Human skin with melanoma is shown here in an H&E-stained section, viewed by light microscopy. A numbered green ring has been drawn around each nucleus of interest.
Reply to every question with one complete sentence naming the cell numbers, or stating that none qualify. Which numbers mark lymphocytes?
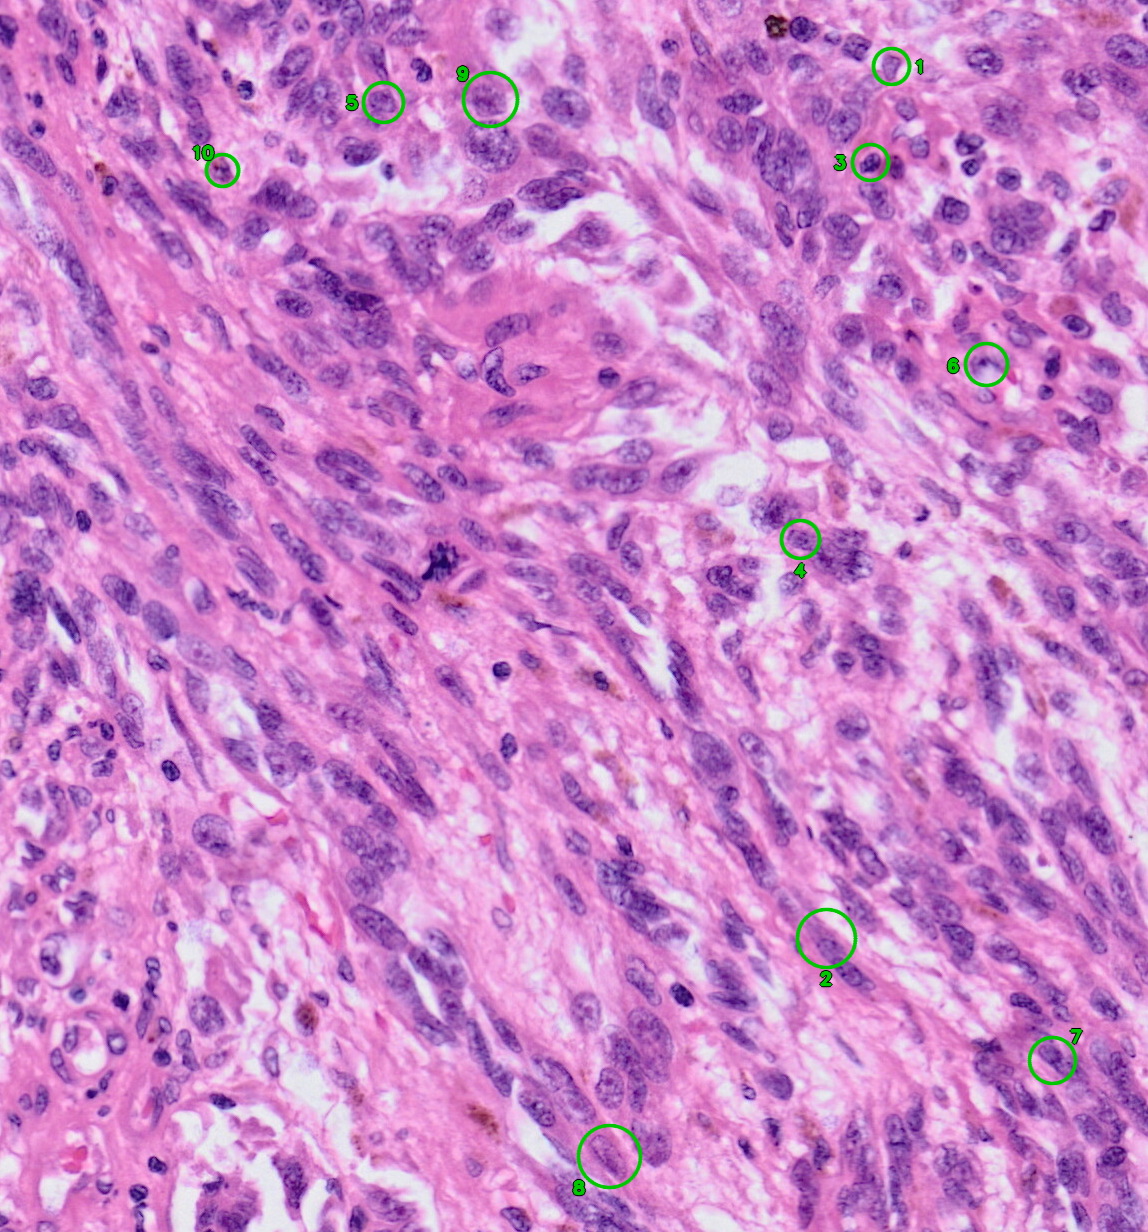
Only the cell numbered 3 qualifies as a lymphocyte among the marked cells.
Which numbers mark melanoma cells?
Within this tissue, the cells numbered 2, 4, 5, 7, 8 and 9 are melanoma cells.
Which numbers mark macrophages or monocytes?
In terms of cell type, cells 1 and 10 are macrophages or monocytes.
